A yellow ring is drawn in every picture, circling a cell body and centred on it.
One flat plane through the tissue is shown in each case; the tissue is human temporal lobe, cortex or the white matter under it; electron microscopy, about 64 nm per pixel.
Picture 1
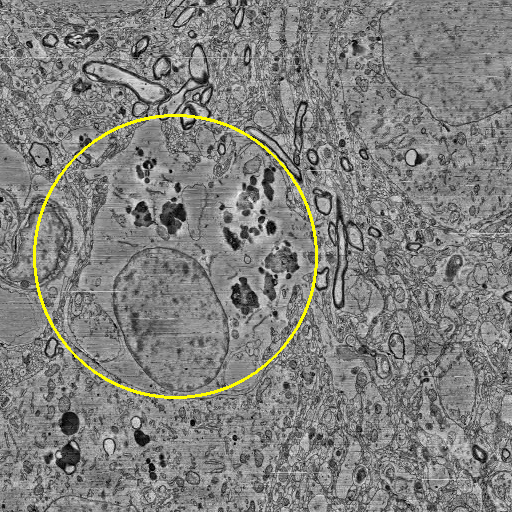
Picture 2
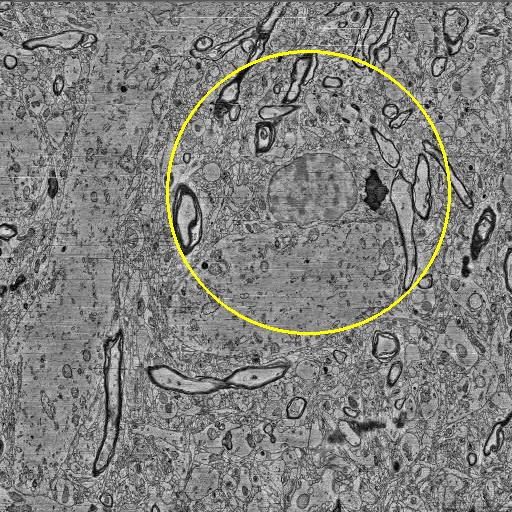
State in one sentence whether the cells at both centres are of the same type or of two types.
The cells at the two ring centres, one per picture, are of two types.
